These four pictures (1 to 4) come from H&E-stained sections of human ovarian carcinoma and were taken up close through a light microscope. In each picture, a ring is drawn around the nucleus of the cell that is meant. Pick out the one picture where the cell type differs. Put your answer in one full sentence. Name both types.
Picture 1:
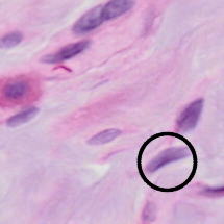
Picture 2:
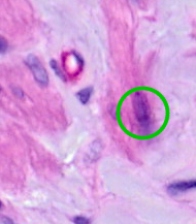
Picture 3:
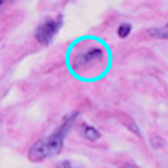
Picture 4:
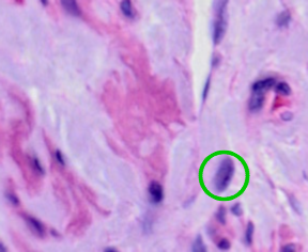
Picture 2 differs, because its cell is a smooth muscle cell and the rest are fibroblasts.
